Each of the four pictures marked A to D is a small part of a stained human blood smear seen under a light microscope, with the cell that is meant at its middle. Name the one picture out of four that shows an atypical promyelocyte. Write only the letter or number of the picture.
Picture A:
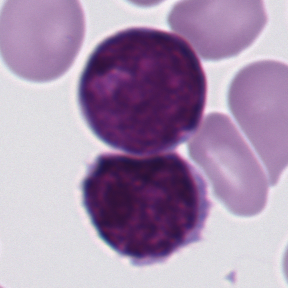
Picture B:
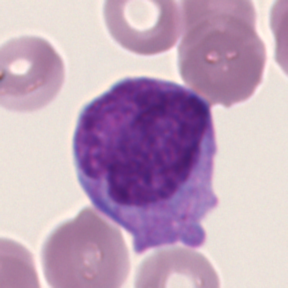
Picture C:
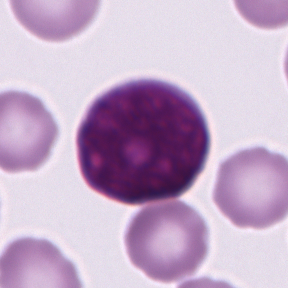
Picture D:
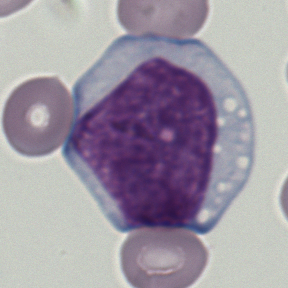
B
